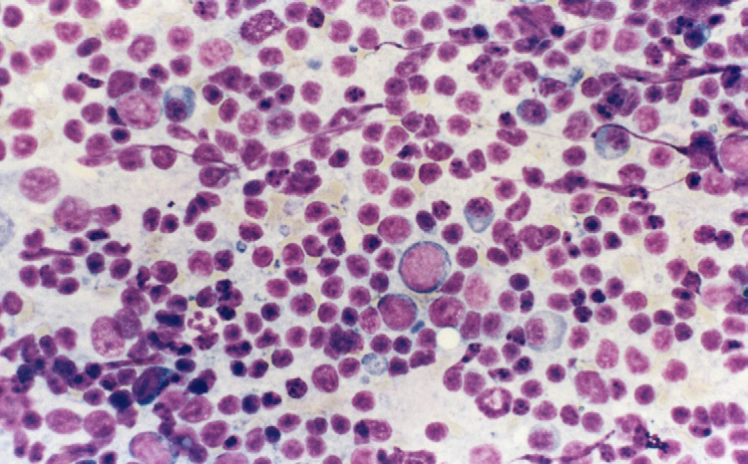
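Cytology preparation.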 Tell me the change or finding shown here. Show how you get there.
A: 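Reactive lymphadenopathy. The lymphoid cells form a mixed population of different sizes rather than a single uniform kind. Cells with blue cytoplasm and large cells with pale cytoplasm are scattered among the small cells.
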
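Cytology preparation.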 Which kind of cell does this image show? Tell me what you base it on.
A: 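A mixture of small and large lymphocytes, plasma cells and macrophages. Most cells are small and round, with dense, dark purple nuclei and scant cytoplasm. Scattered larger cells have bigger, paler nuclei. Some cells have blue cytoplasm around an off-centre round nucleus. A few large cells have abundant pale cytoplasm.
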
